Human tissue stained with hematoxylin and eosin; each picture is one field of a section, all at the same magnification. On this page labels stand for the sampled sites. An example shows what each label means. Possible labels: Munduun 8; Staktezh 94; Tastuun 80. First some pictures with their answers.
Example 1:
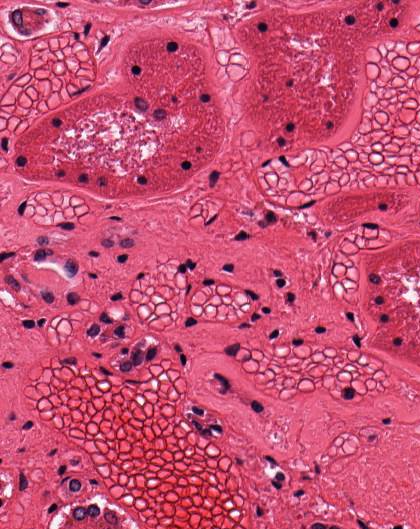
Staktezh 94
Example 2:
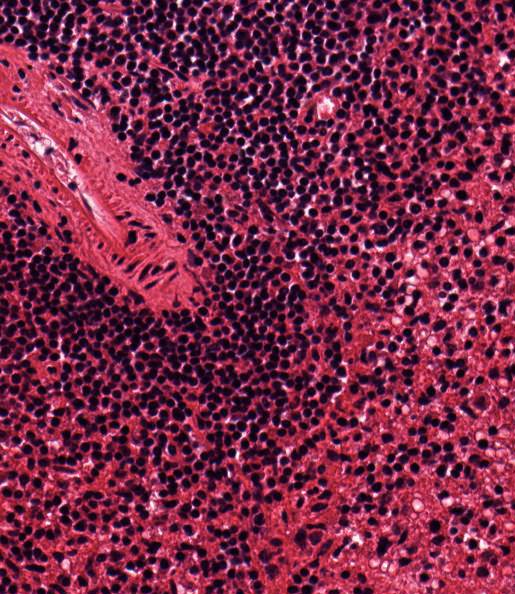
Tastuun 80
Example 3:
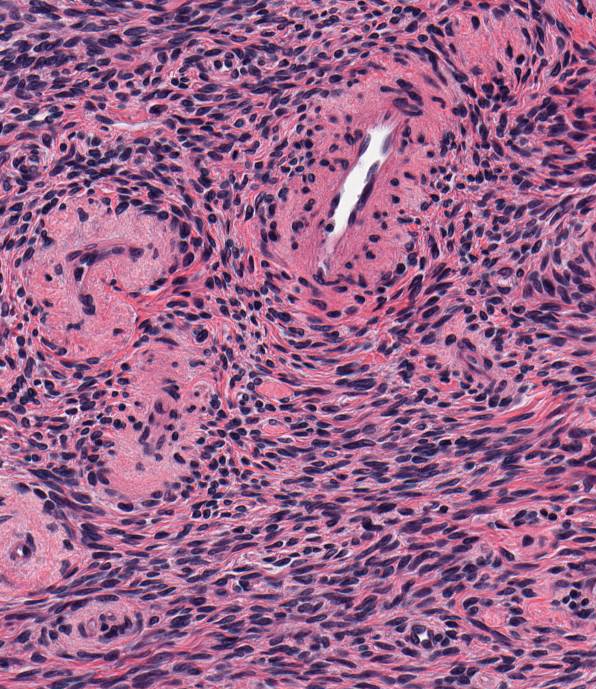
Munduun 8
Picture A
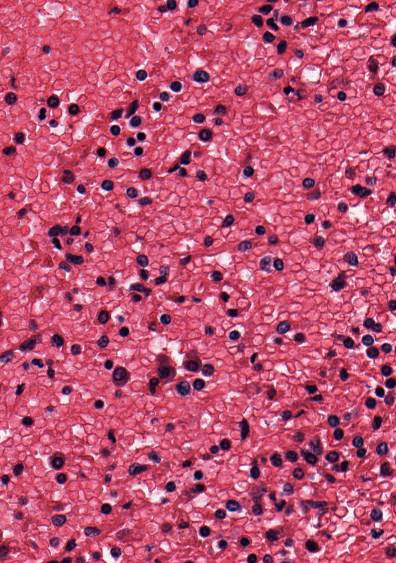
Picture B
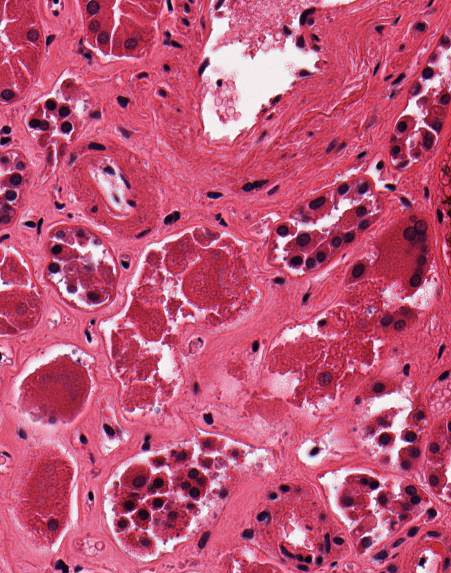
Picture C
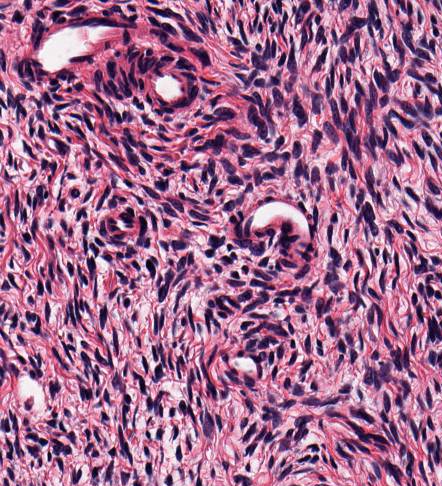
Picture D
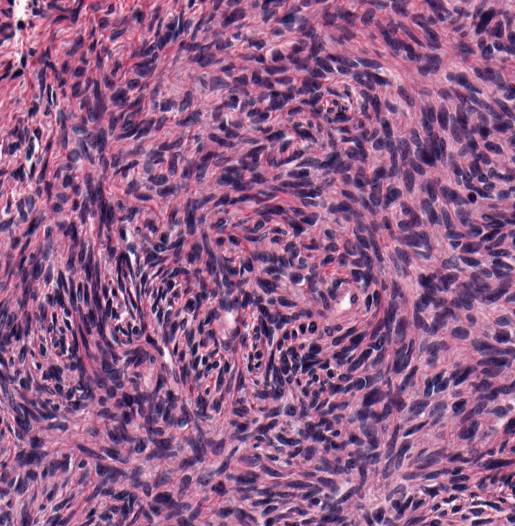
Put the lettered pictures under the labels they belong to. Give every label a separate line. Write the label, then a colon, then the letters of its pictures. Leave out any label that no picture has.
Munduun 8: C, D
Staktezh 94: B
Tastuun 80: A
